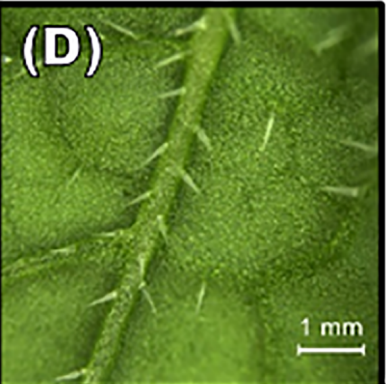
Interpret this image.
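The lower surface of a leaf is seen at low magnification, with a raised vein running diagonally across the field. Short, pale, pointed trichomes stand out from the sides of the vein. A few similar hairs are scattered singly on the blade away from the vein. The blade has a finely granular green surface, with smaller veins branching from the main one.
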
